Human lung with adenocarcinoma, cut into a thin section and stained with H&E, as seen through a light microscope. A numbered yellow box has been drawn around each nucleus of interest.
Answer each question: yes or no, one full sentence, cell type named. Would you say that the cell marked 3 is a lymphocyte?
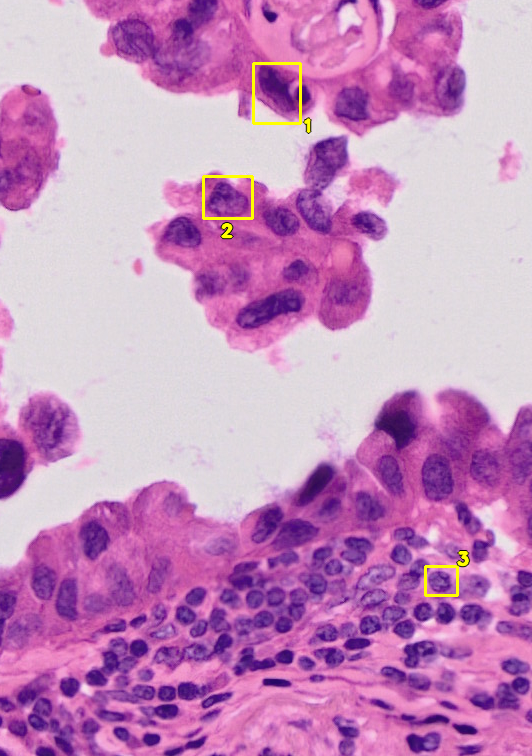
Yes, the cell at the mark numbered 3 is a lymphocyte.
